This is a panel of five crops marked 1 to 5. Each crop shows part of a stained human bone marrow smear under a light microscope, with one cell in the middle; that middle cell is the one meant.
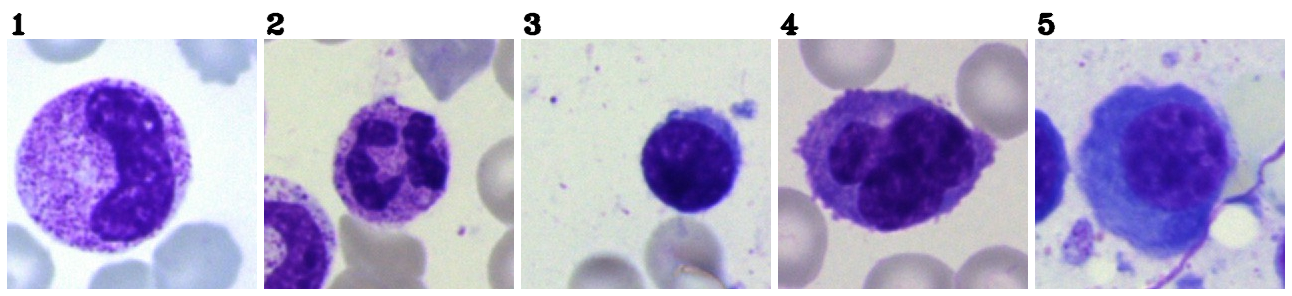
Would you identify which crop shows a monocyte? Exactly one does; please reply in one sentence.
The one crop that shows a monocyte is crop 4.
